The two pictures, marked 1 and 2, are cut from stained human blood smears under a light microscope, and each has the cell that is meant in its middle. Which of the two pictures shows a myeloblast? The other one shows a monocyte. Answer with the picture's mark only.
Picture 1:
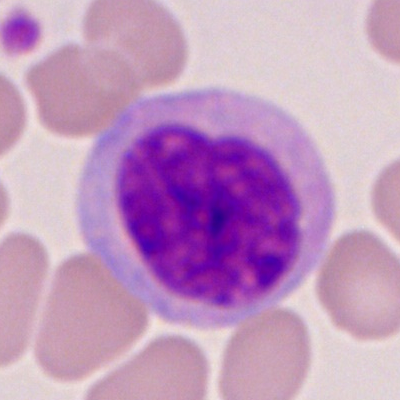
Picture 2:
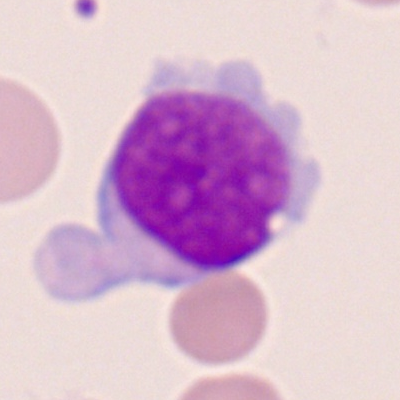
2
